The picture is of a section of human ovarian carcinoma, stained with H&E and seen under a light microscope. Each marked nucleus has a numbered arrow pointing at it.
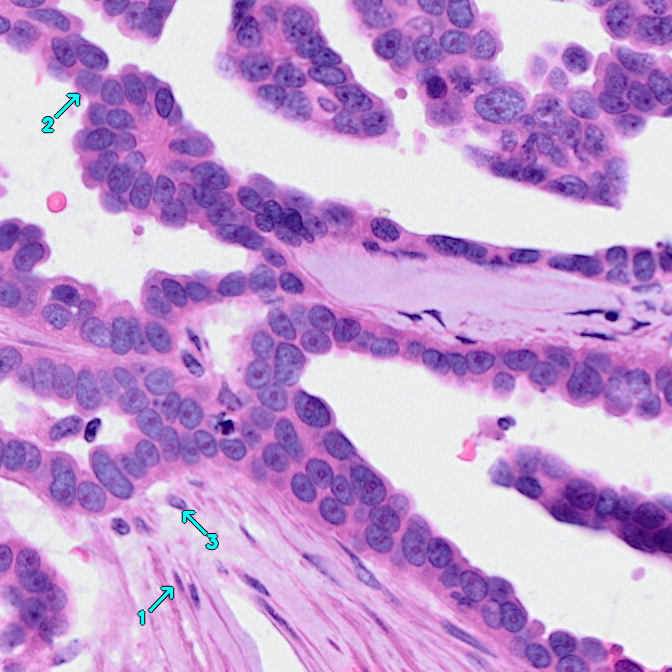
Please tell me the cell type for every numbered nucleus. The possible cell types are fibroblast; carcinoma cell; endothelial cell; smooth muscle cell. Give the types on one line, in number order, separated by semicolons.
fibroblast; carcinoma cell; fibroblast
